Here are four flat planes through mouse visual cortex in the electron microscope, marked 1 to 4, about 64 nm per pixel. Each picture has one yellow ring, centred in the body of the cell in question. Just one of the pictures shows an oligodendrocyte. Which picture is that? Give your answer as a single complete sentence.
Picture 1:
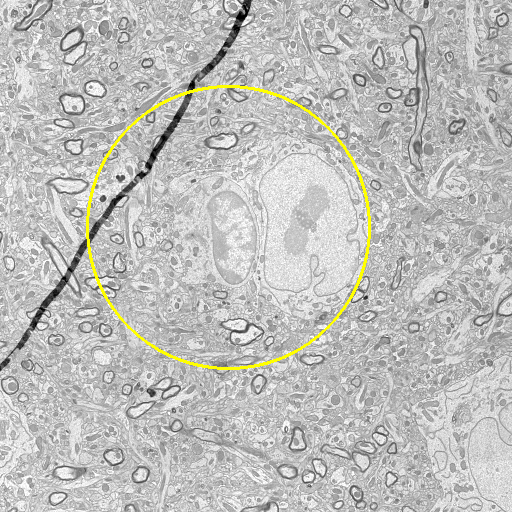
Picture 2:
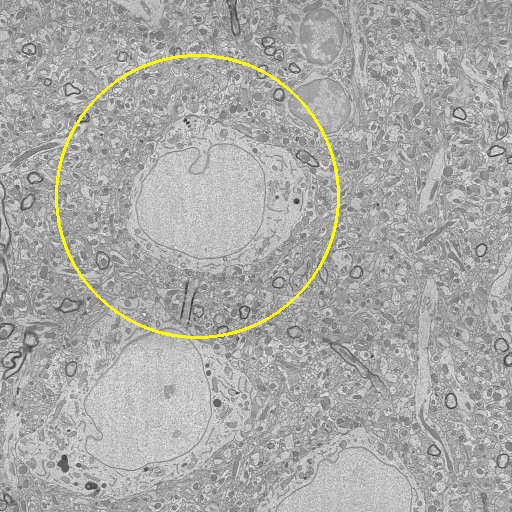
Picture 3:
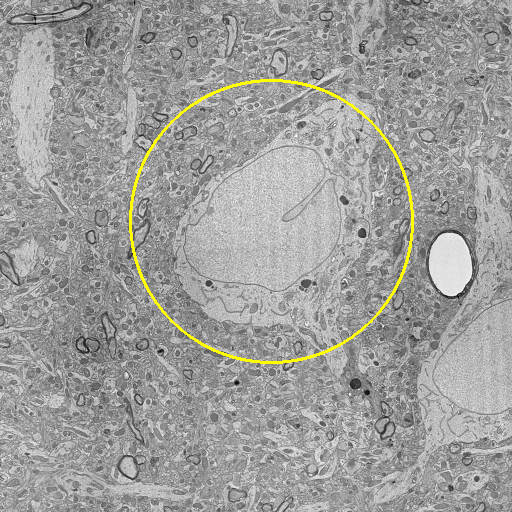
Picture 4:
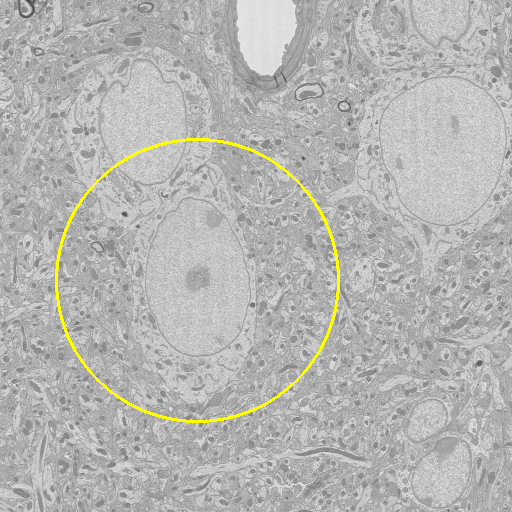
The oligodendrocyte is the one in picture 1.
